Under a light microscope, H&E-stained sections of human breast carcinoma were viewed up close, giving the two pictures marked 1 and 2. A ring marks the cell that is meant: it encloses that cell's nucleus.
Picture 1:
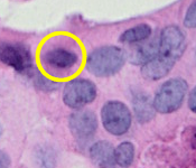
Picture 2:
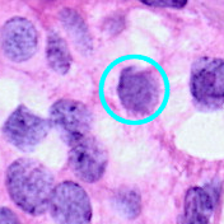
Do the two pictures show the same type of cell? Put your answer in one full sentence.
Yes, both cells are carcinoma cells.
